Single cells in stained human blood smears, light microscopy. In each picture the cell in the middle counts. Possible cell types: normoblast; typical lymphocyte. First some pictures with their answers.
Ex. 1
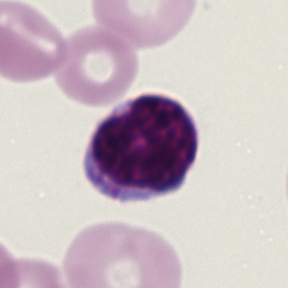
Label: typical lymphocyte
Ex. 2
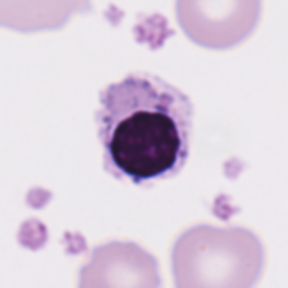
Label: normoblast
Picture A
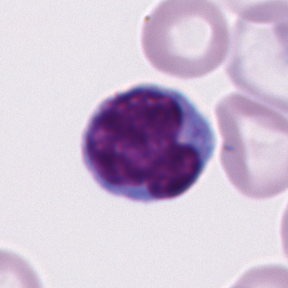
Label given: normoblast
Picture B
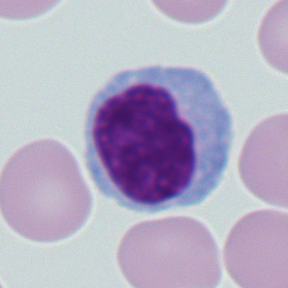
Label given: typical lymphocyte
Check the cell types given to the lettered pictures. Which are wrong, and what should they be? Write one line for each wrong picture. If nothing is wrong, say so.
Wrong: A (normoblast); correct: typical lymphocyte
